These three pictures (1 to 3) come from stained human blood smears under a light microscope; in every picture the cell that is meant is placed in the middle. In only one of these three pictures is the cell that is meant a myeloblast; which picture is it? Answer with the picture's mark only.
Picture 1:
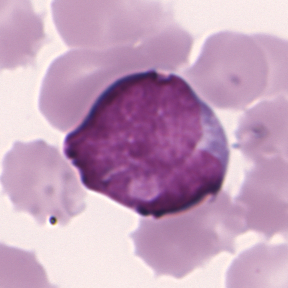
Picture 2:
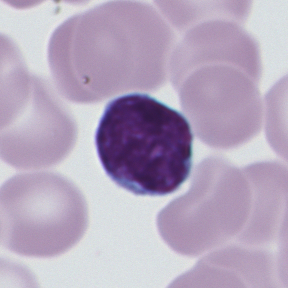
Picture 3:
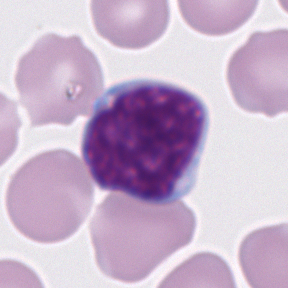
1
